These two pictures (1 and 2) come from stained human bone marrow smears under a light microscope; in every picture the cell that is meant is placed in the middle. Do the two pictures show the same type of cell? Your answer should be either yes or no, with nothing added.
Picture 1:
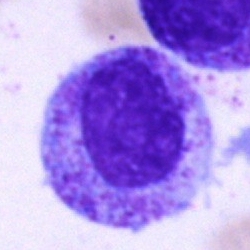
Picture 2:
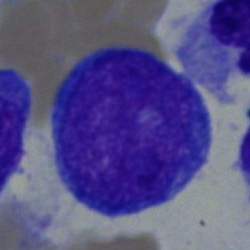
no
